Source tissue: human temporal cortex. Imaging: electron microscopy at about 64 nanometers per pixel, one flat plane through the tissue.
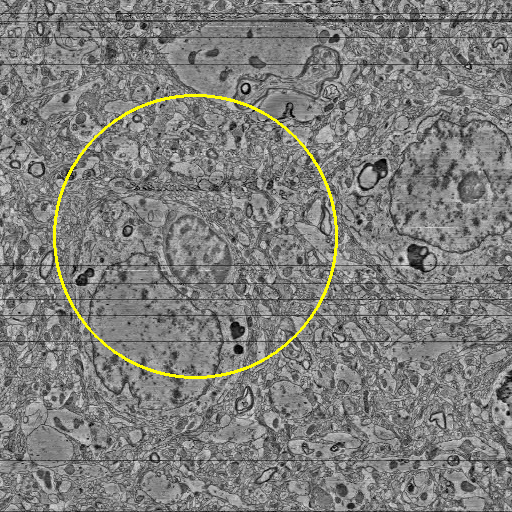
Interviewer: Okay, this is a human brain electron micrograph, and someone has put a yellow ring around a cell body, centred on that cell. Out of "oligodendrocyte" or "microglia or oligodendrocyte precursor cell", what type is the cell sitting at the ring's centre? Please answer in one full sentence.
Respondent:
The cell at the centre of the yellow ring in this picture is an oligodendrocyte.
